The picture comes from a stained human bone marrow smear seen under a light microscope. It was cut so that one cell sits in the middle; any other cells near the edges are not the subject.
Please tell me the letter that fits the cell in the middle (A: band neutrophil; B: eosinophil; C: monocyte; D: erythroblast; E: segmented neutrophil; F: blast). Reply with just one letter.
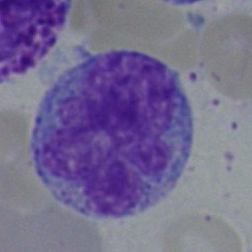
C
